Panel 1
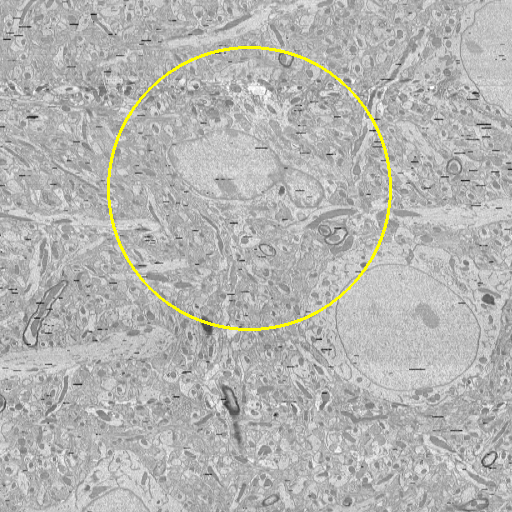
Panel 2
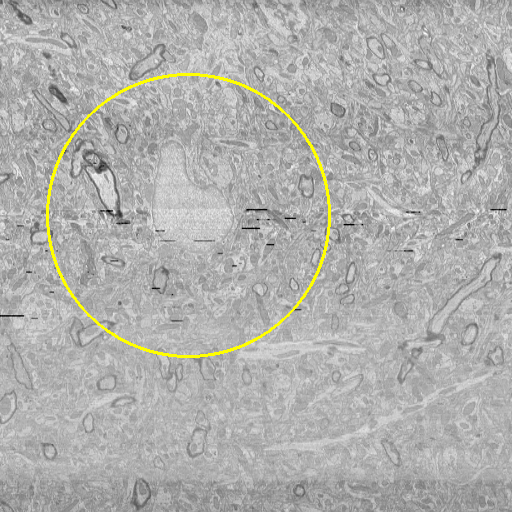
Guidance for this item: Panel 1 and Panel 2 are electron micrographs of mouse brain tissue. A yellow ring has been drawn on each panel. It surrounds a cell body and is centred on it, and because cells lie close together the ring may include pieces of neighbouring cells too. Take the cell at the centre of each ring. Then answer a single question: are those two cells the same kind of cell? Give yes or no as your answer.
yes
